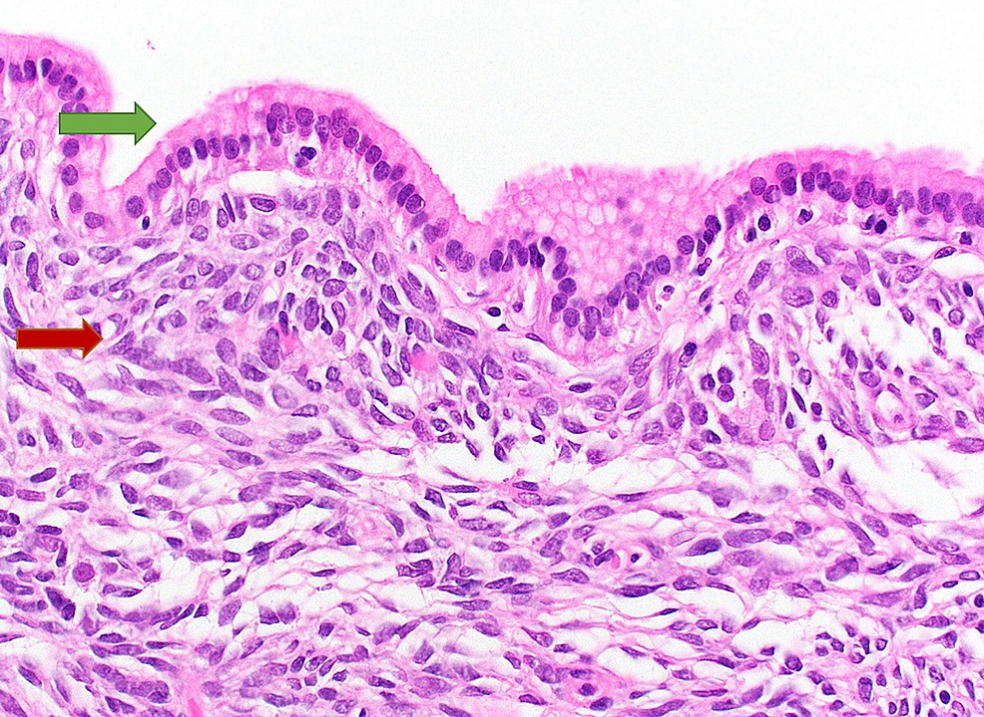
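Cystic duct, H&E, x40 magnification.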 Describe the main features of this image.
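The surface is lined by a single layer of mucinous cuboidal to columnar epithelium, whose cells have pale pink, mucin-filled apical cytoplasm and small, dark, basally placed nuclei. Directly beneath this lining lies a densely cellular, ovarian-like stroma made of bland spindle cells with uniform elongated oval nuclei, closely packed in wavy streams in a pale pink background.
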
